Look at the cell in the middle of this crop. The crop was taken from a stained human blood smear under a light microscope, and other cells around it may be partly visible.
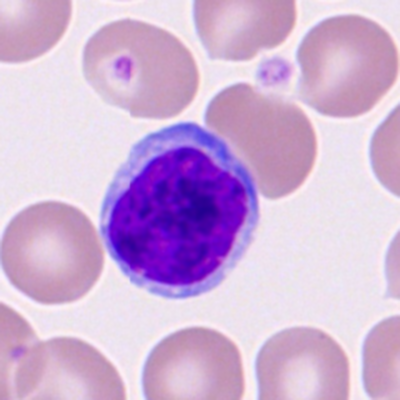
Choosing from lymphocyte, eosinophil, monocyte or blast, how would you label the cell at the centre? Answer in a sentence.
As for the cell in the middle, it is a lymphocyte.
